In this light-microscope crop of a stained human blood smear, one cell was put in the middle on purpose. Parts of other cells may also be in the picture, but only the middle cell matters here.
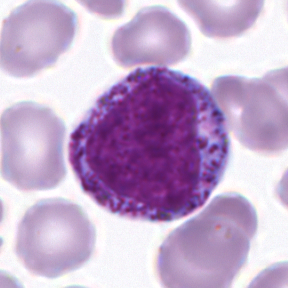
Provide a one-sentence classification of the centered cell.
In the central position of this crop, the cell is a myelocyte.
